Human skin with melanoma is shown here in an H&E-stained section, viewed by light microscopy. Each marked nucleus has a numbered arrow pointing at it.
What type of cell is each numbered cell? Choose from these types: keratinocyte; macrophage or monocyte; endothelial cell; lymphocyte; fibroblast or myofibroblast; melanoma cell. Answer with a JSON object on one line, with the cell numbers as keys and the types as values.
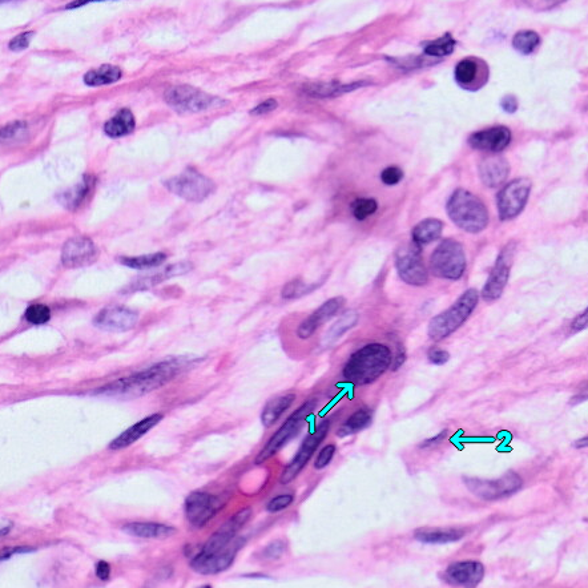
{"1": "endothelial cell", "2": "fibroblast or myofibroblast"}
